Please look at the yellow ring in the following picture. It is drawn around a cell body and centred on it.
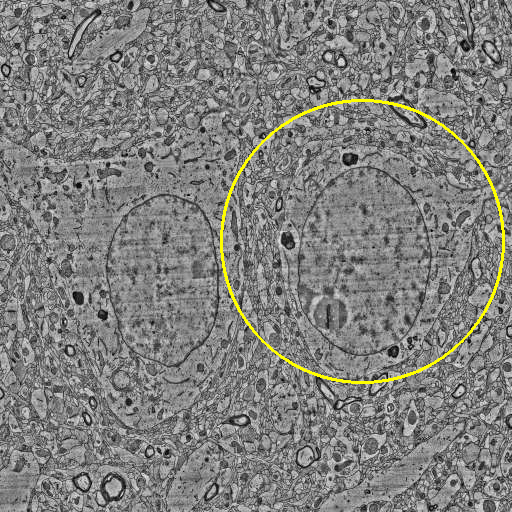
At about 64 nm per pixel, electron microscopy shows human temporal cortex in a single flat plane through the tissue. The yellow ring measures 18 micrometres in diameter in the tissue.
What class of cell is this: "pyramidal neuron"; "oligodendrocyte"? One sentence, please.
The ring surrounds the cell body of a pyramidal neuron.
